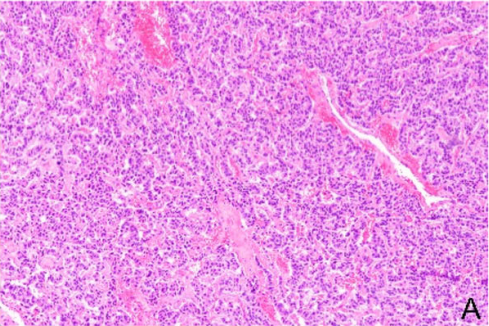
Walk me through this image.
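This is a tumor made of sheets of small, uniform cells with round, dark blue nuclei. The cells are packed closely in solid sheets, with a little pale pink cytoplasm around each nucleus. Thin pink bands of fibrous stroma with blood vessels containing red blood cells cross the field. In places the cells seem to line up around small spaces, but for the most part they grow as a solid mass.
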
